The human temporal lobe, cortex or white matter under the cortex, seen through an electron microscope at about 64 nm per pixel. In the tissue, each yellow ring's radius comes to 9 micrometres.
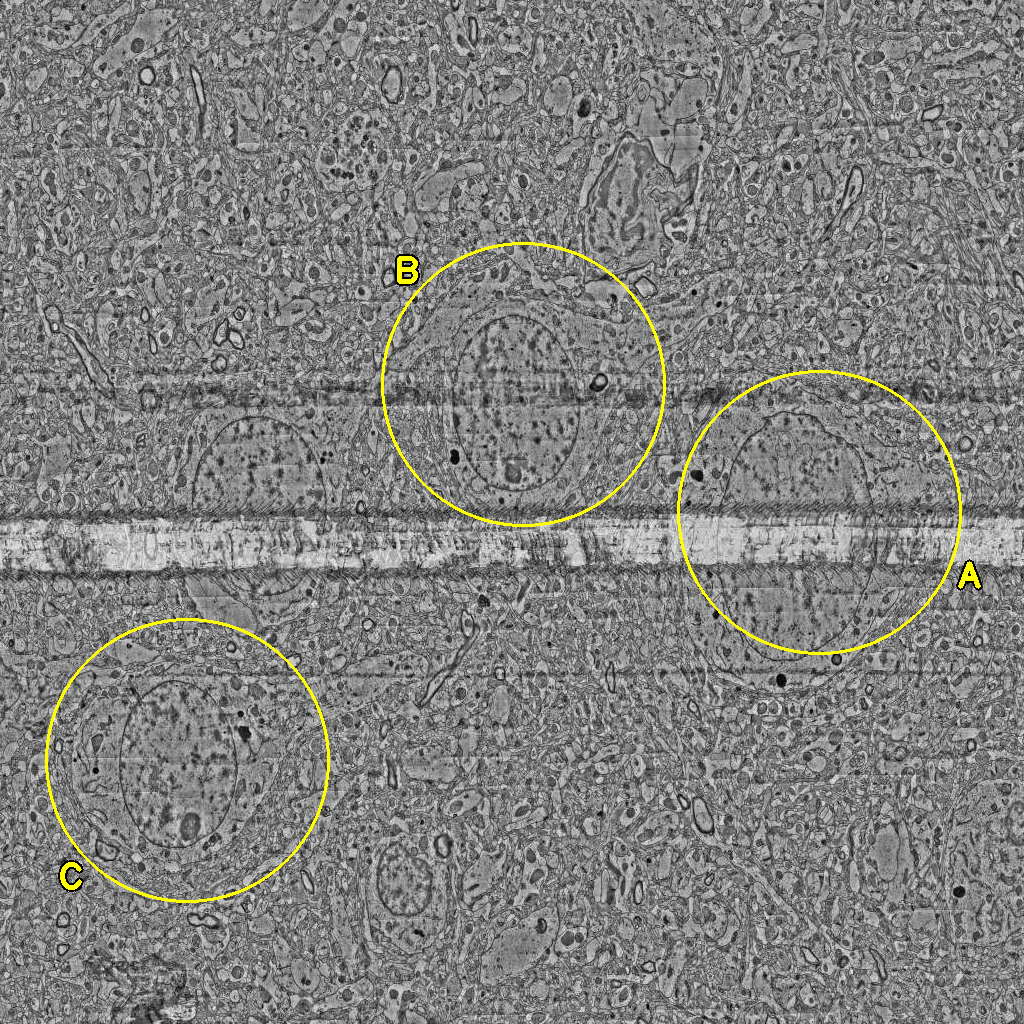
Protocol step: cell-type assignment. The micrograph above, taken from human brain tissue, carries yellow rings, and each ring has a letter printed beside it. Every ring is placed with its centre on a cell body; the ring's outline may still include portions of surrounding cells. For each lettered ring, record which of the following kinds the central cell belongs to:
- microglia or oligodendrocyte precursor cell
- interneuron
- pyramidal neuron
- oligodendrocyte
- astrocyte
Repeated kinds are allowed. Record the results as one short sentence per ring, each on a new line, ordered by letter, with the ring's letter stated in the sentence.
In ring A, the central cell is a pyramidal neuron.
In ring B, the central cell is a pyramidal neuron.
In ring C, the central cell is a pyramidal neuron.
